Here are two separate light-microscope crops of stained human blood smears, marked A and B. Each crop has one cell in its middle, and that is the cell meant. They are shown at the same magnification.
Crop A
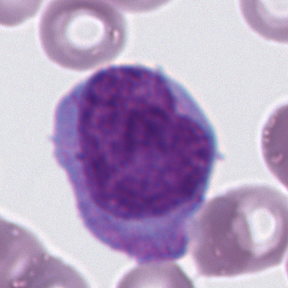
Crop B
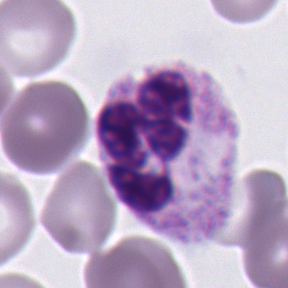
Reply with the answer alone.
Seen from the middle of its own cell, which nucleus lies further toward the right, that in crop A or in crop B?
A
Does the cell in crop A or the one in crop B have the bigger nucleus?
A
